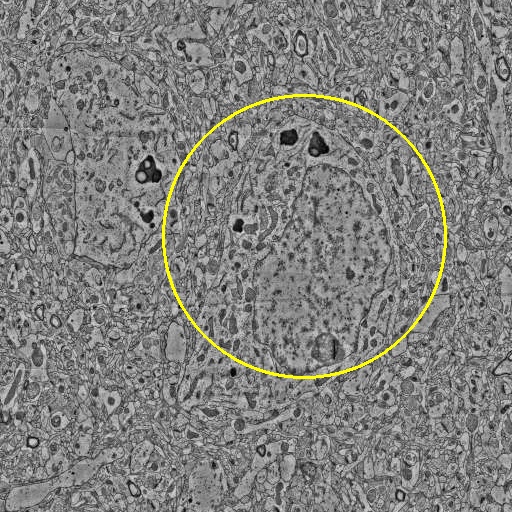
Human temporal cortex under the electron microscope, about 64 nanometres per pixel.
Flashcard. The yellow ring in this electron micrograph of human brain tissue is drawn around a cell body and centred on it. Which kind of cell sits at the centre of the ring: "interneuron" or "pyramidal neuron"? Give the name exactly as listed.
interneuron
